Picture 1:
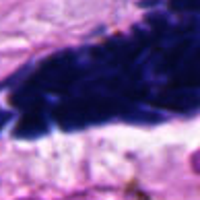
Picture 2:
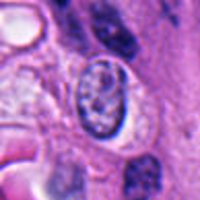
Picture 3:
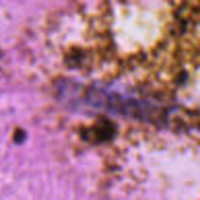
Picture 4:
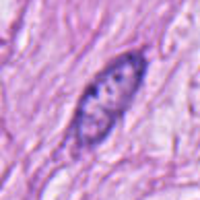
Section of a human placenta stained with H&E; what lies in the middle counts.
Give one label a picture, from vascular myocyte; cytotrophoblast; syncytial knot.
1: syncytial knot
2: cytotrophoblast
3: vascular myocyte
4: vascular myocyte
